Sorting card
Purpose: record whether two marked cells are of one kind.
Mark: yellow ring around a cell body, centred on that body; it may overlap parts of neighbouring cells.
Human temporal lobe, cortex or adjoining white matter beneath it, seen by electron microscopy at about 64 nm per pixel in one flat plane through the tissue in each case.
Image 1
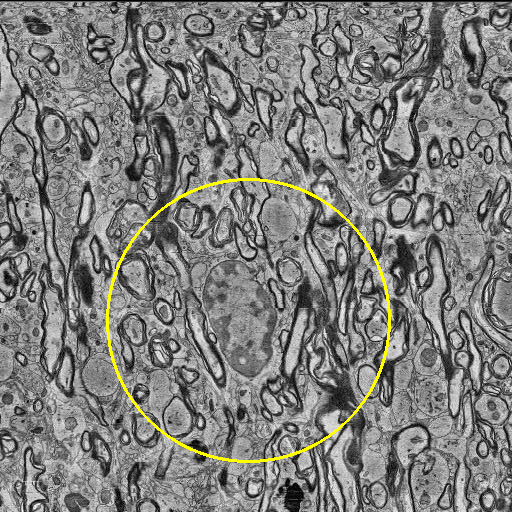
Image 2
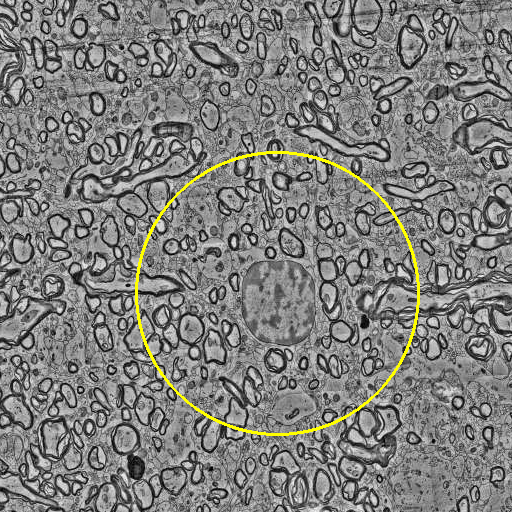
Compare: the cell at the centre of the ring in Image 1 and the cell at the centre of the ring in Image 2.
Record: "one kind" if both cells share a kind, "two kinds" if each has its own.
one kind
